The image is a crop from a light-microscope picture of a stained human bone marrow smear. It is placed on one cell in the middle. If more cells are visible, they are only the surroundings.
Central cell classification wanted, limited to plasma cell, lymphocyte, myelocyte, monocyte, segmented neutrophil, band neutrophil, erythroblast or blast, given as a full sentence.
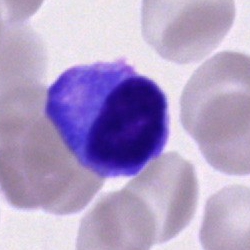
For this crop, the central cell is a plasma cell.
